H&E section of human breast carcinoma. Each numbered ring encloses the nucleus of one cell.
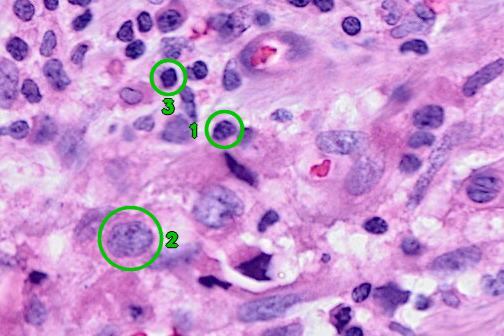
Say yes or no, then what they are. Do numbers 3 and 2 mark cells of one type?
No, cell 2 is a carcinoma cell, and cell 3 is a lymphocyte.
